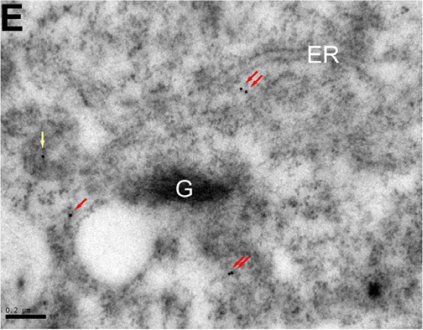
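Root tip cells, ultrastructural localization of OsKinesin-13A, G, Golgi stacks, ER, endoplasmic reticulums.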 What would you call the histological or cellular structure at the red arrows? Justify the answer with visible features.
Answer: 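The red arrows point at small, round, very dense black dots. The dots are sharply outlined and uniformly black, unlike the grey cytoplasm. The answer: gold particles.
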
